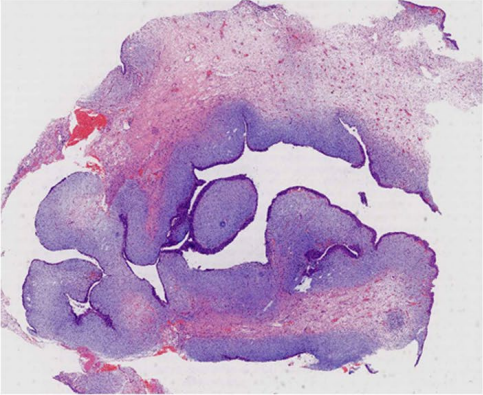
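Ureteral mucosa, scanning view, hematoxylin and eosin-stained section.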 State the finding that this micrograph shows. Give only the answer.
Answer: Polypoid and lobulated tumor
